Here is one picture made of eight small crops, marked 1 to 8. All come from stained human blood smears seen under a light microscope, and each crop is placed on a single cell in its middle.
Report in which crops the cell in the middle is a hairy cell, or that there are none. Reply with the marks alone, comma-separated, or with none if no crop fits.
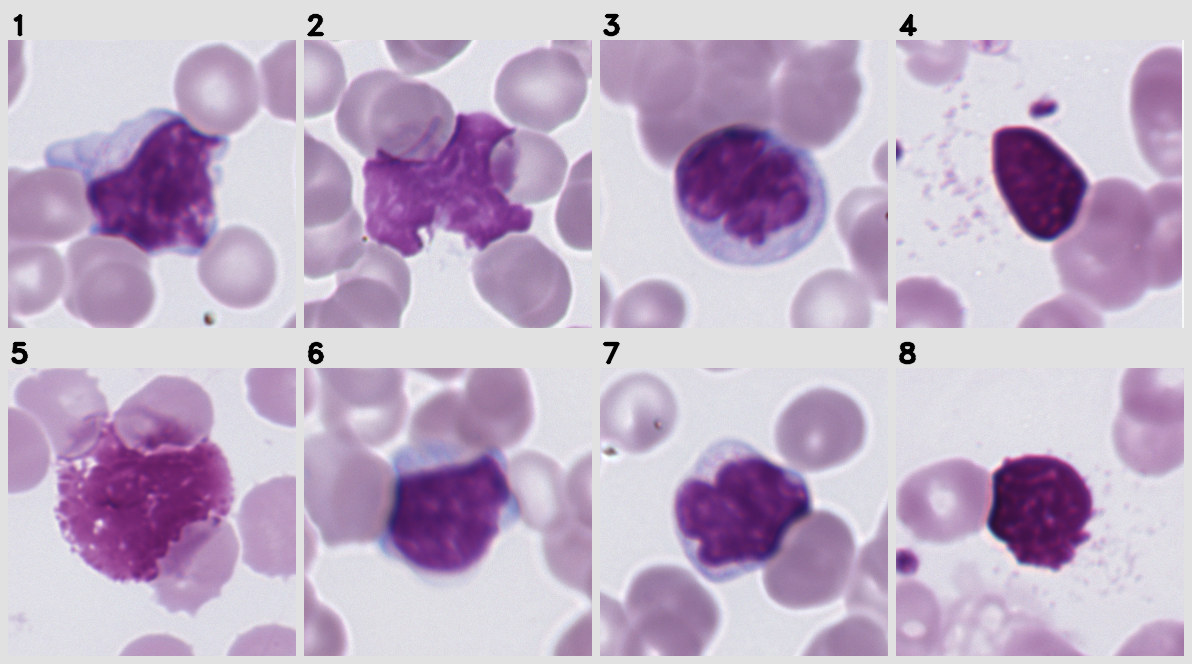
none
